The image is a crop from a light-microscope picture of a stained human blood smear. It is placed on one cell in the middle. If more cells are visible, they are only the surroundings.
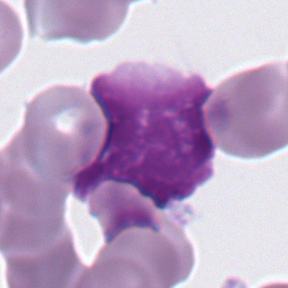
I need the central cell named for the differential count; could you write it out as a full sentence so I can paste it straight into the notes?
The cell in the exact centre of the crop is a smudge cell.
